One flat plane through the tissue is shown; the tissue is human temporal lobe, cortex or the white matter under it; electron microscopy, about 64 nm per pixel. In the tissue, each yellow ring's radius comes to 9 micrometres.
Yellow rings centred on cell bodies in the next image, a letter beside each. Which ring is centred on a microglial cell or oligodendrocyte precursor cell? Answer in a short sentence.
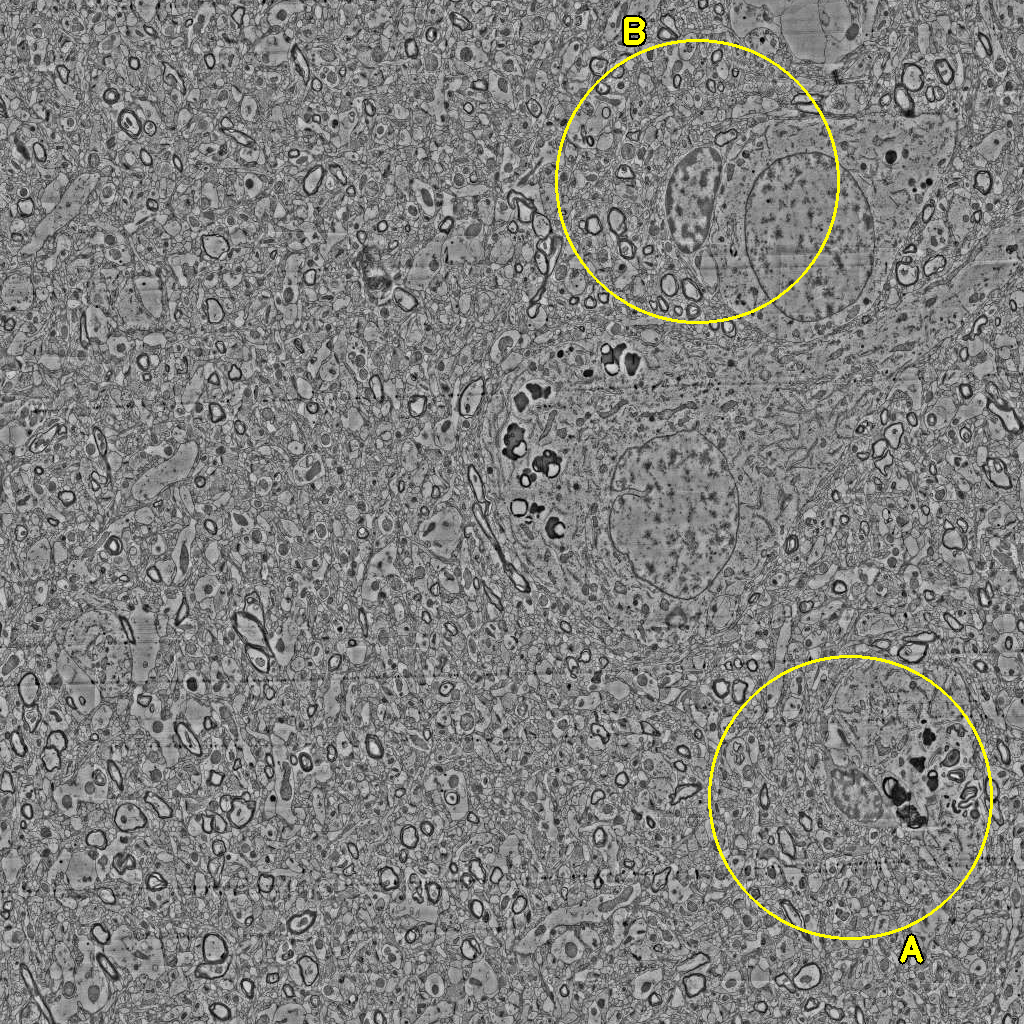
Ring B is centred on it.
